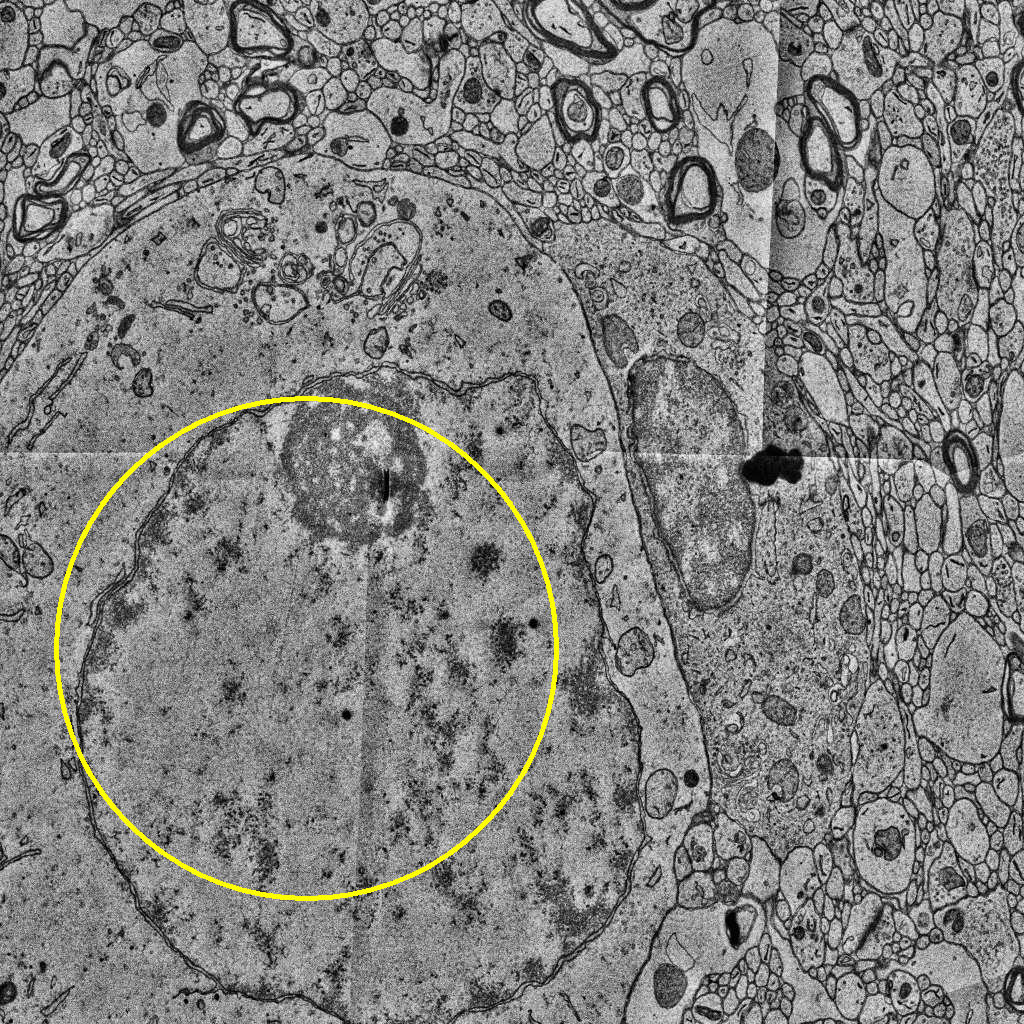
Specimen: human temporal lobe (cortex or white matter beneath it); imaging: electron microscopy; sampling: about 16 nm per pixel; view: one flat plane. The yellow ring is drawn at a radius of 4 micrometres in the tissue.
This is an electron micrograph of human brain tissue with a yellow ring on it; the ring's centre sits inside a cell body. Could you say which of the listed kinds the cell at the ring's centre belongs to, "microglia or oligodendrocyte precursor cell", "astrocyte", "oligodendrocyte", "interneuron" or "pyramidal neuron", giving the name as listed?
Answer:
interneuron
